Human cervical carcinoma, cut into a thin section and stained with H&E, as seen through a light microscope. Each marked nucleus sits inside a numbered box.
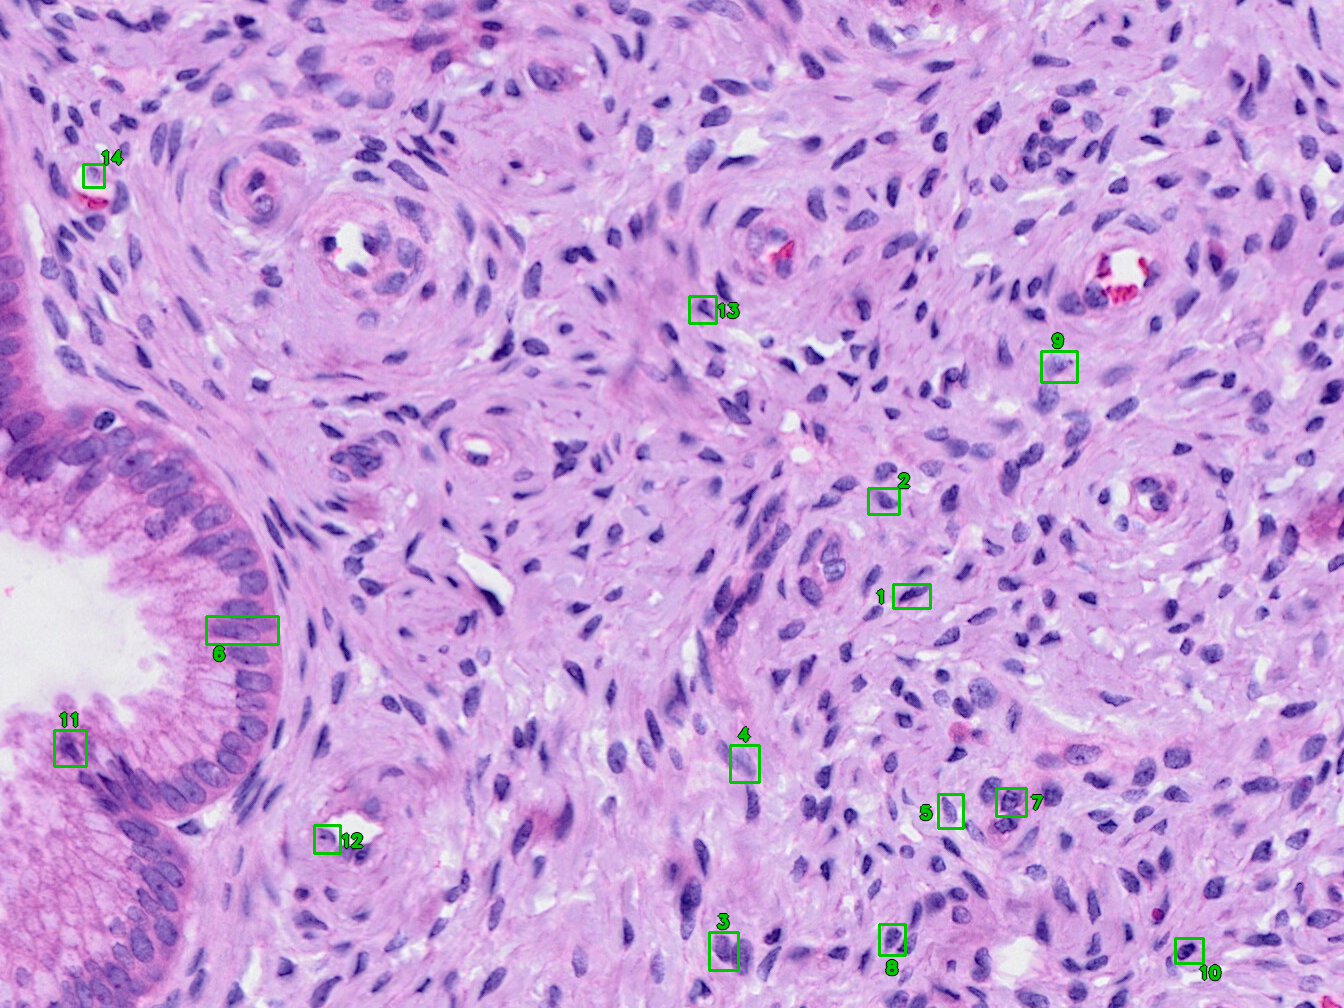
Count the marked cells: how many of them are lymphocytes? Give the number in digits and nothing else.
1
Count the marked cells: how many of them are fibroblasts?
8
